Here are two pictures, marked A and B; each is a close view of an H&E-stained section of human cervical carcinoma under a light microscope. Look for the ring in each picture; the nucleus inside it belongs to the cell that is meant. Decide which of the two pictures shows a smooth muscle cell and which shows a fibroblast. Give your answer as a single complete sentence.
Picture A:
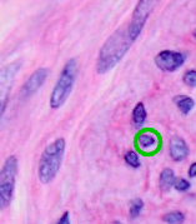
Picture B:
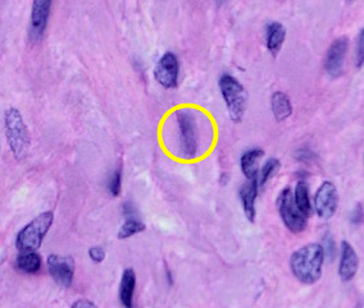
Picture B shows a fibroblast, while picture A shows a smooth muscle cell.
